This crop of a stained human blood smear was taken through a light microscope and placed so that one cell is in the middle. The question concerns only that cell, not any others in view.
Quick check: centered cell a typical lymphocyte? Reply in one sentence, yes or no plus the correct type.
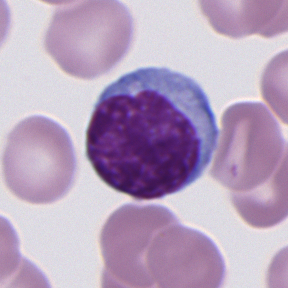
Yes, the central cell is to be recorded as a typical lymphocyte.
